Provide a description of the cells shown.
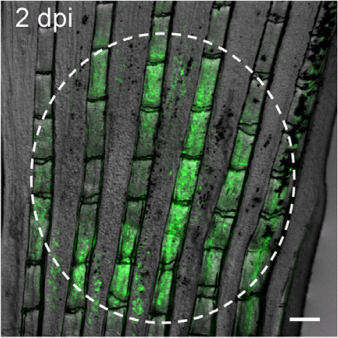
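A whole-mount fin shows parallel segmented rays, with green fluorescence filling the interior of several rays inside the dashed circle and little between them. The green lies in the mesenchymal cells occupying the fin rays, interrupted at the dark segment joints.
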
